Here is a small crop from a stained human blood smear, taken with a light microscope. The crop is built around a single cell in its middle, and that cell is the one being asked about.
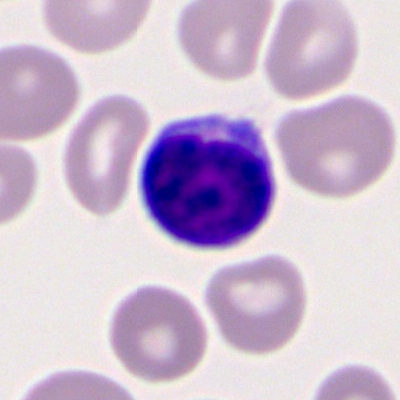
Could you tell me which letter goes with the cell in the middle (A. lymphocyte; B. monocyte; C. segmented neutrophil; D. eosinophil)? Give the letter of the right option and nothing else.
A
